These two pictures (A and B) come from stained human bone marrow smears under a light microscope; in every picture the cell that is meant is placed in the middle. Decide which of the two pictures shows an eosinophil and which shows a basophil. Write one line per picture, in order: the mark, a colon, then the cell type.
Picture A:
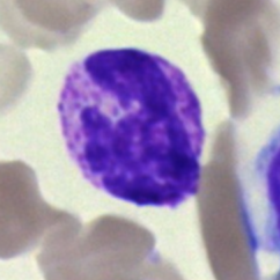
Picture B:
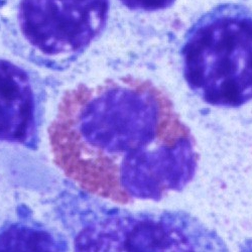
A: basophil
B: eosinophil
